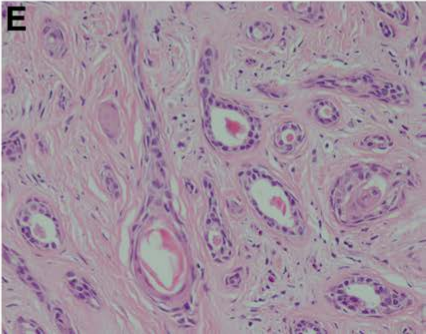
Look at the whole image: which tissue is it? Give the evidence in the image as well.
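Fibrosclerotic stroma. Dense pale pink collagenous fibres surround the epithelial nests.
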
